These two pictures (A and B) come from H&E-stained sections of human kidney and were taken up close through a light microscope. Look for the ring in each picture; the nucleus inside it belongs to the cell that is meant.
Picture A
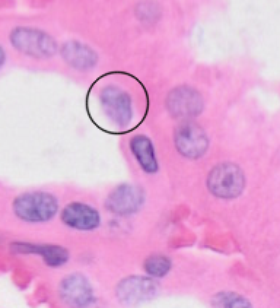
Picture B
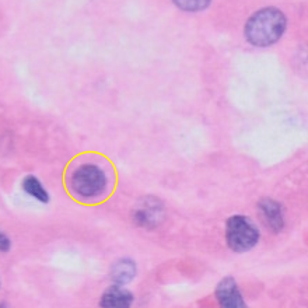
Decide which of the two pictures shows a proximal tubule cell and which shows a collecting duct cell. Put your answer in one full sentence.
Picture B shows a proximal tubule cell, while picture A shows a collecting duct cell.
